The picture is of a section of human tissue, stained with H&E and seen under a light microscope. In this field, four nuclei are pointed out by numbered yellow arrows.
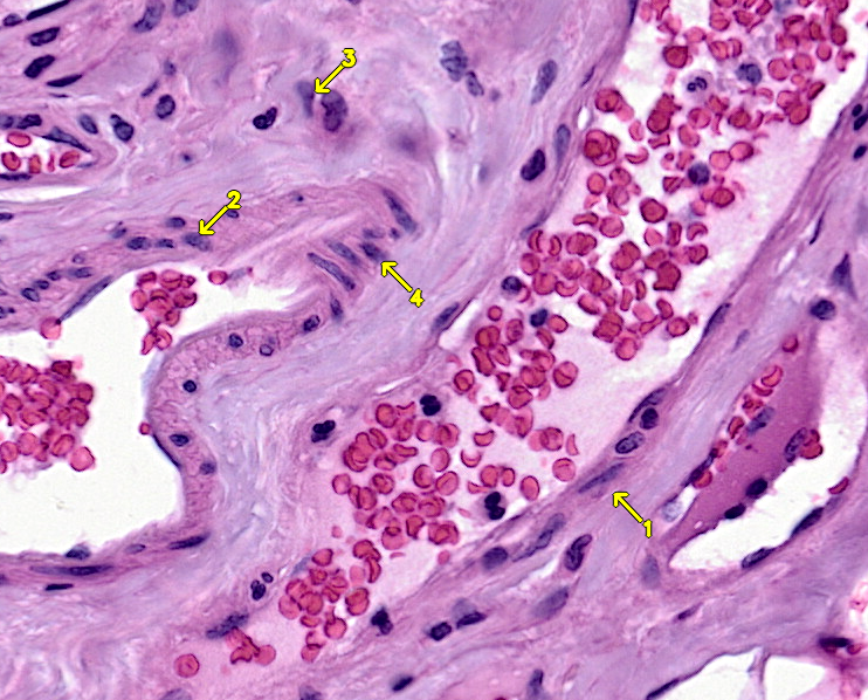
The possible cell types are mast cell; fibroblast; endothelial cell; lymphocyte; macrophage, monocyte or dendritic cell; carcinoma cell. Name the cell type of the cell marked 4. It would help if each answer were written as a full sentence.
The label 4 in this section denotes an endothelial cell.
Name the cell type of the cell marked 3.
Cell 3 of the marked set is a fibroblast.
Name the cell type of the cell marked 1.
The numbered cell 1 in this field is an endothelial cell.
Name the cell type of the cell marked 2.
The marked nucleus 2 is that of an endothelial cell.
